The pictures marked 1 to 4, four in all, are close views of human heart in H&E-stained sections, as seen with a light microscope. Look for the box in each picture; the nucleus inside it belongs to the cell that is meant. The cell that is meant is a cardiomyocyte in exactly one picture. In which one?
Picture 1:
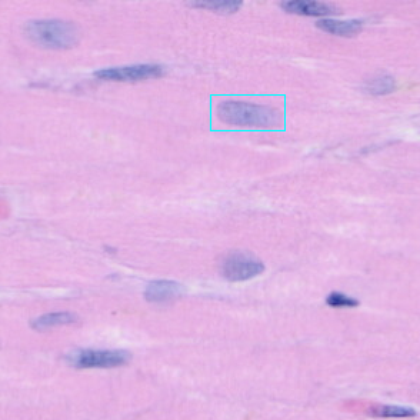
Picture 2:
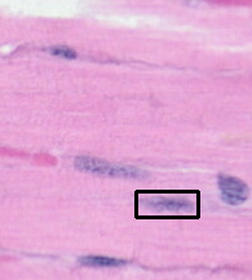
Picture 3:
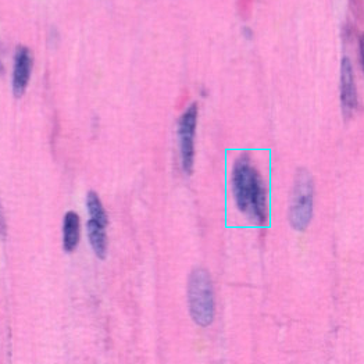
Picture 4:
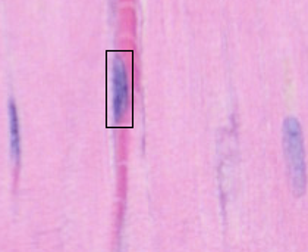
1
